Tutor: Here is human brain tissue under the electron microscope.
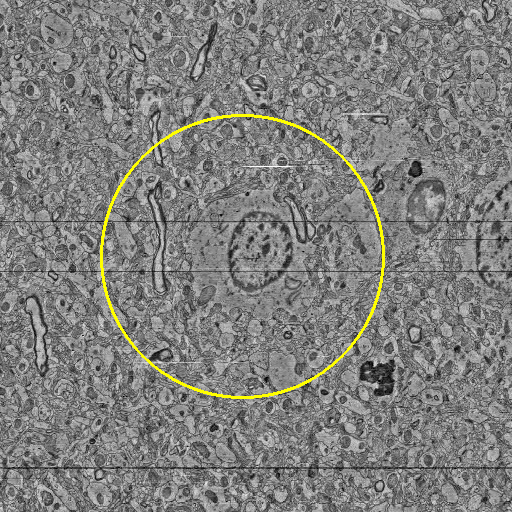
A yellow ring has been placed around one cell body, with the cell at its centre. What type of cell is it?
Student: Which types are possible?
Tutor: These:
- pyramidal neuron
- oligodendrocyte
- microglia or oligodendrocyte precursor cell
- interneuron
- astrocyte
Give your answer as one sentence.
What the ring picks out here is an astrocyte.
